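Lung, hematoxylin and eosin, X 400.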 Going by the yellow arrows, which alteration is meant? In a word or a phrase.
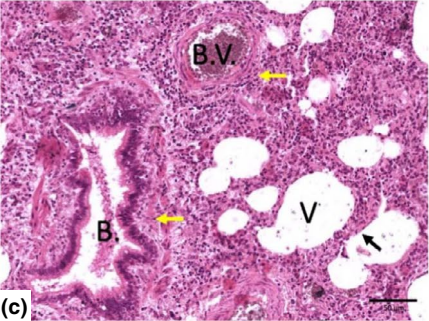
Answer: Inflammatory cells infiltration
